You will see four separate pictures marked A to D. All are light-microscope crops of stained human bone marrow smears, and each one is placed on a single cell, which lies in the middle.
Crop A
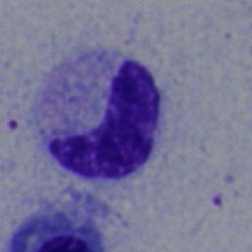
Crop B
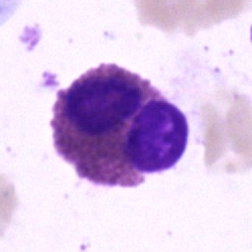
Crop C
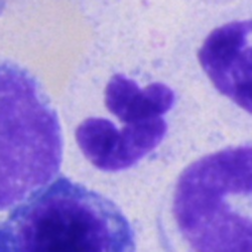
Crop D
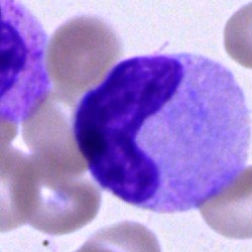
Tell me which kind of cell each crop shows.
A: band neutrophil
B: eosinophil
C: segmented neutrophil
D: band neutrophil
